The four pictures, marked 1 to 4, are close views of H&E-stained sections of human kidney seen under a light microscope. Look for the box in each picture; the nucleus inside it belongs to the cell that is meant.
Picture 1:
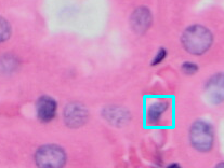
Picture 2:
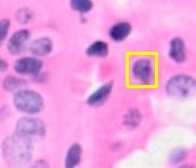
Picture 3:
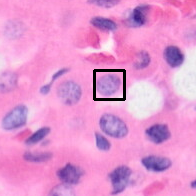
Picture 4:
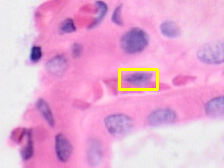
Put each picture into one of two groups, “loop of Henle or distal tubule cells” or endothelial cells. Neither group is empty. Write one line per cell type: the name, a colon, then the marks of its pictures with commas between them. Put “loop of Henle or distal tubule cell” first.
loop of Henle or distal tubule cell: 2, 3
endothelial cell: 1, 4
